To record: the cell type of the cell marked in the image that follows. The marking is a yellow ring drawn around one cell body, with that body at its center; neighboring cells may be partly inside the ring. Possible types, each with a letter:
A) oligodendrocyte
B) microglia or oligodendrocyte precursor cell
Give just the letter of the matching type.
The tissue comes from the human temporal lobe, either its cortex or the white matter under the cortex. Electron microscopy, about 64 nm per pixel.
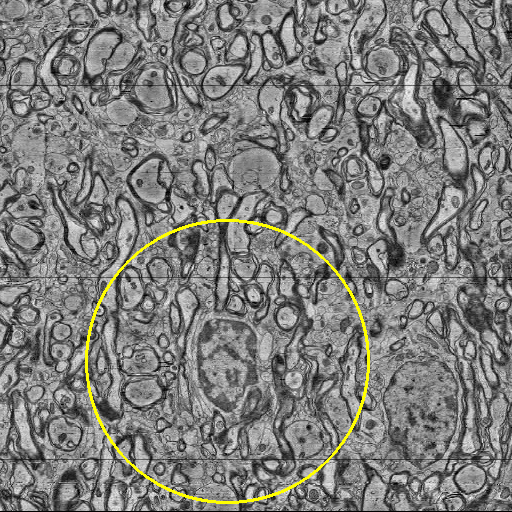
B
